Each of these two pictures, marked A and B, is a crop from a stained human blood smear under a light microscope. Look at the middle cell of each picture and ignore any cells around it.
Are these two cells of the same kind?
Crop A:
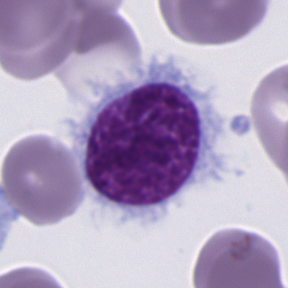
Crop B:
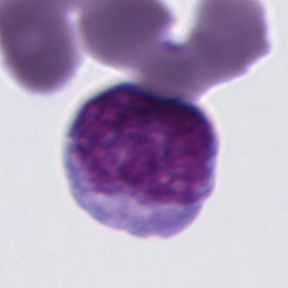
no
